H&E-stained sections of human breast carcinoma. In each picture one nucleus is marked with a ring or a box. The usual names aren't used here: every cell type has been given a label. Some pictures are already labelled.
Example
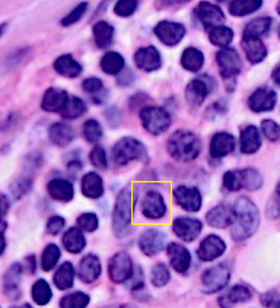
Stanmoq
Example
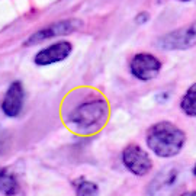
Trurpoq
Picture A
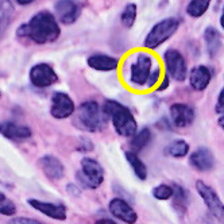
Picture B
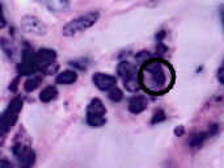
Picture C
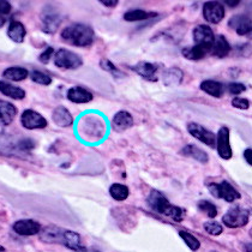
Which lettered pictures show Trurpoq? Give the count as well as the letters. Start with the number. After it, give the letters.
1: C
